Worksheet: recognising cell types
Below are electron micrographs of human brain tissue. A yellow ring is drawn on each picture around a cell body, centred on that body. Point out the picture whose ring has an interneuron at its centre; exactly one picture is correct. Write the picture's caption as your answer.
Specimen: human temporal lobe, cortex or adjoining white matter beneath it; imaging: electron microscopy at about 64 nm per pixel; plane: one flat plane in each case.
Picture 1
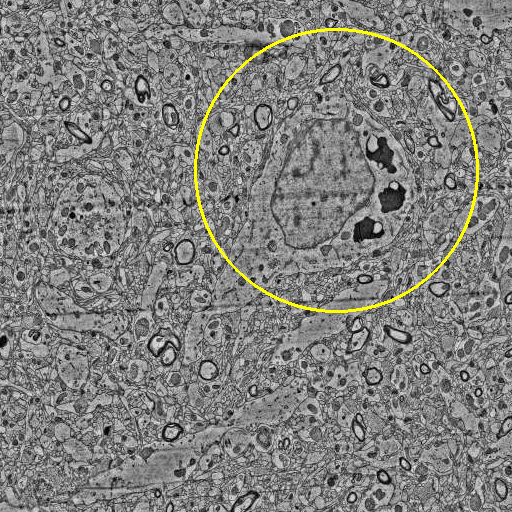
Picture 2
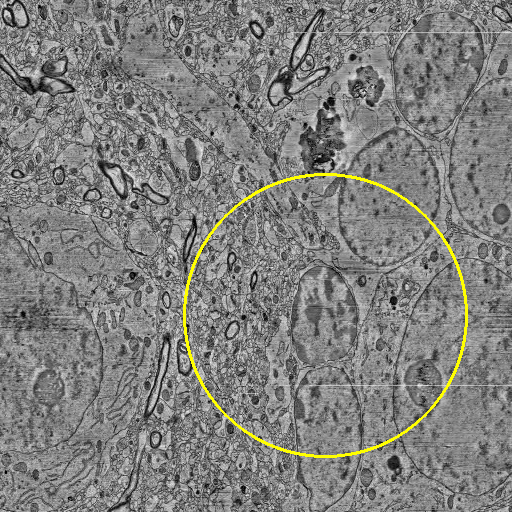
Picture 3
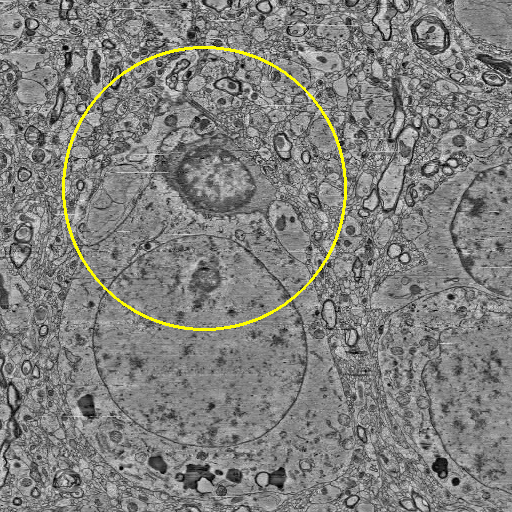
Picture 1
